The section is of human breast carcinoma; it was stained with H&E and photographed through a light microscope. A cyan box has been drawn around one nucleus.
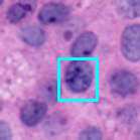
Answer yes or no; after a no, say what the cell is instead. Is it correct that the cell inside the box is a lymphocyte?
No, it is a carcinoma cell.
